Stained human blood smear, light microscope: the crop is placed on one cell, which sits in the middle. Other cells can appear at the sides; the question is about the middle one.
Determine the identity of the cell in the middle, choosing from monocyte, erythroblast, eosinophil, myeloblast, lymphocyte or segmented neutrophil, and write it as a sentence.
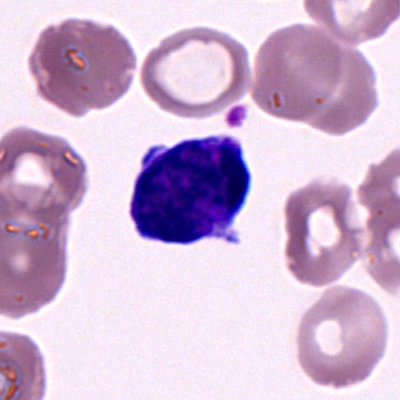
Of the cells in this crop, the central one is a lymphocyte.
